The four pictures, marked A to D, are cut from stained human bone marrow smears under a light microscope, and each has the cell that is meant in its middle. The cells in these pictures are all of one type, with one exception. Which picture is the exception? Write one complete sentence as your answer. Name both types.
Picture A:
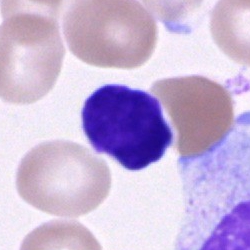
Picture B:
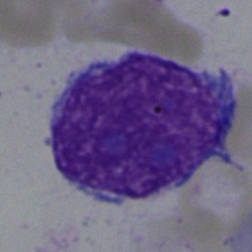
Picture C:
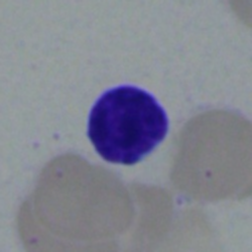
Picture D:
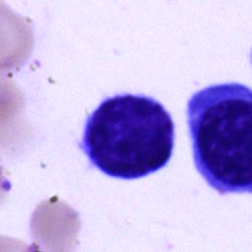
The different one is picture B; it shows a blast, whereas all the others show lymphocytes.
